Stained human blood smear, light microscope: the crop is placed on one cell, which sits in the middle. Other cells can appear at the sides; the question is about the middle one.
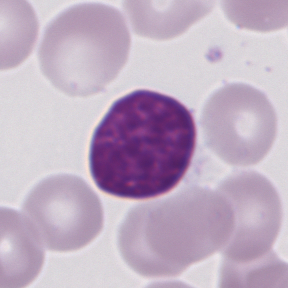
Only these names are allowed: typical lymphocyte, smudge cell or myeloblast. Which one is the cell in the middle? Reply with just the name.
smudge cell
